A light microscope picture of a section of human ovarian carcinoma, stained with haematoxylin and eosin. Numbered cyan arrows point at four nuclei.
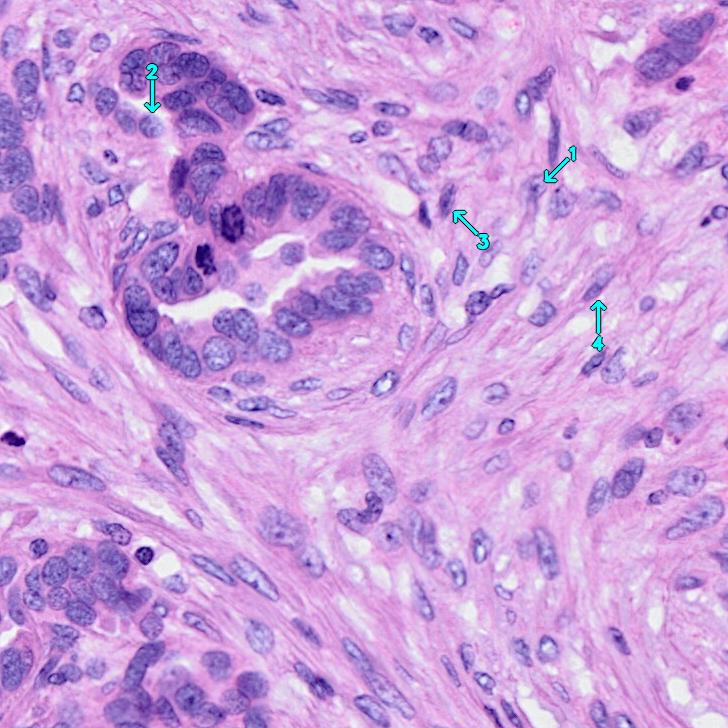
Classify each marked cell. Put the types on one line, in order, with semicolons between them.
fibroblast; carcinoma cell; fibroblast; fibroblast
